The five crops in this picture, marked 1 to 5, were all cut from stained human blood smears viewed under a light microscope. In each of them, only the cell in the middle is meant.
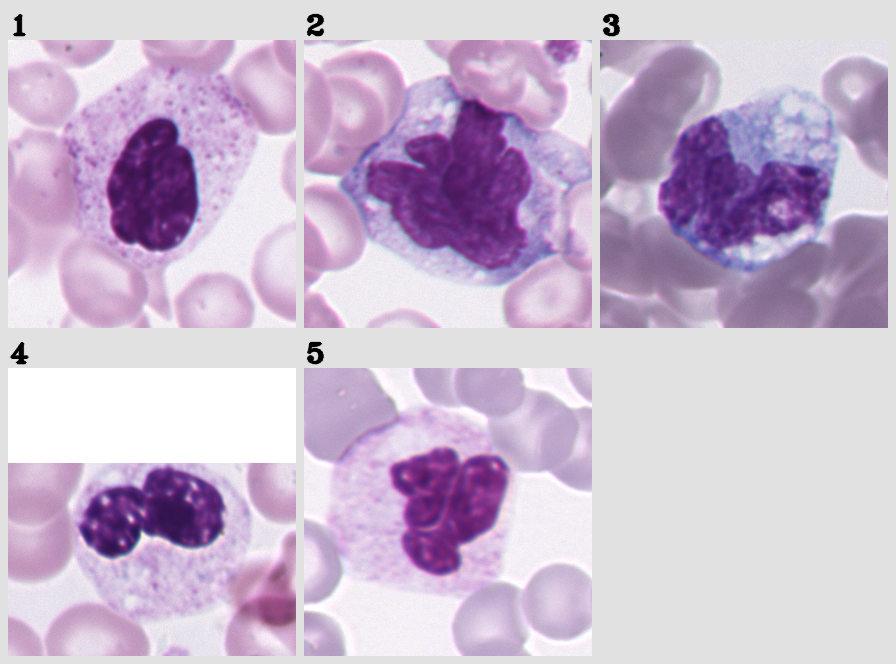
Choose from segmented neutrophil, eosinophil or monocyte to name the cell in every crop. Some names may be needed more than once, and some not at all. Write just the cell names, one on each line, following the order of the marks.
segmented neutrophil
monocyte
monocyte
segmented neutrophil
segmented neutrophil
